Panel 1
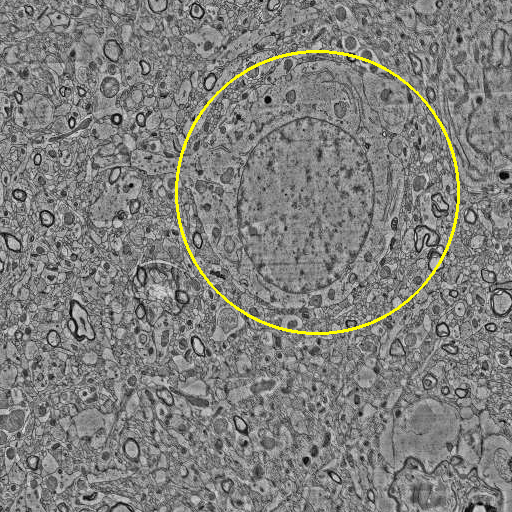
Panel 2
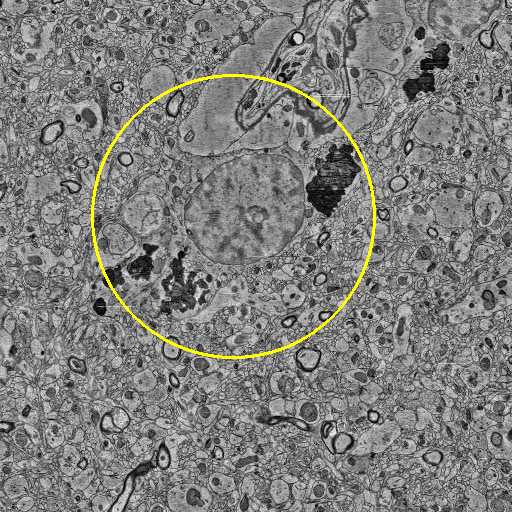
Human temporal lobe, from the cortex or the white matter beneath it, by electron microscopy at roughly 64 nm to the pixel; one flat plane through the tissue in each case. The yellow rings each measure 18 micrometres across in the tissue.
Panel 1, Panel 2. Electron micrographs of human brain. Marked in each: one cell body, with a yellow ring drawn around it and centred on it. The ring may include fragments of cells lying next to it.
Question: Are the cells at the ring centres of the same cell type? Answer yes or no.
no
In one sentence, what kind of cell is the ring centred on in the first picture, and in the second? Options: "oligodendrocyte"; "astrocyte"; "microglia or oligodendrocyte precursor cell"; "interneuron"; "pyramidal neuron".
The cell at the centre of the second ring is an oligodendrocyte; the first ring's cell is an interneuron.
